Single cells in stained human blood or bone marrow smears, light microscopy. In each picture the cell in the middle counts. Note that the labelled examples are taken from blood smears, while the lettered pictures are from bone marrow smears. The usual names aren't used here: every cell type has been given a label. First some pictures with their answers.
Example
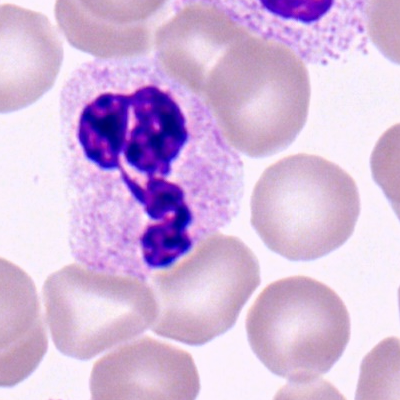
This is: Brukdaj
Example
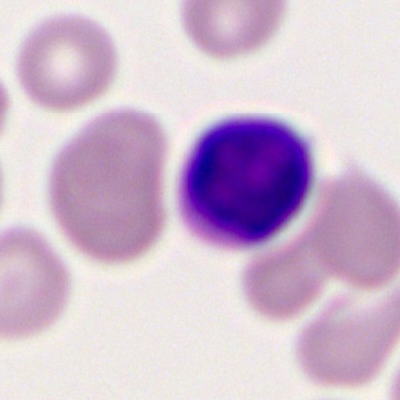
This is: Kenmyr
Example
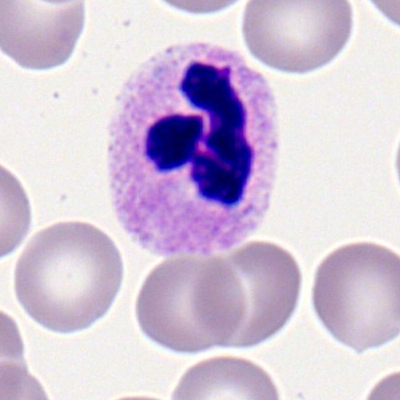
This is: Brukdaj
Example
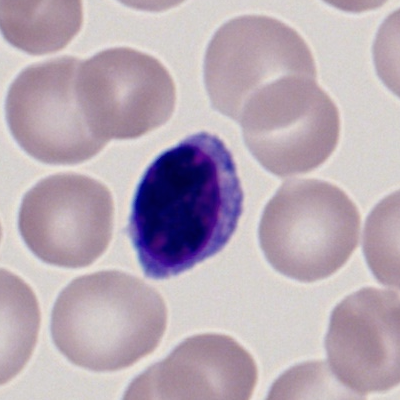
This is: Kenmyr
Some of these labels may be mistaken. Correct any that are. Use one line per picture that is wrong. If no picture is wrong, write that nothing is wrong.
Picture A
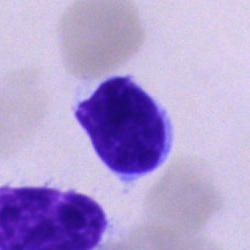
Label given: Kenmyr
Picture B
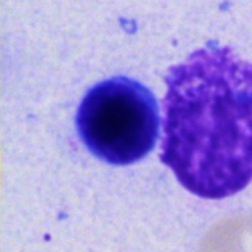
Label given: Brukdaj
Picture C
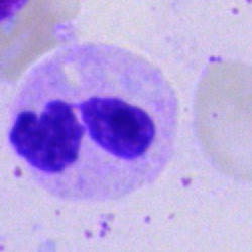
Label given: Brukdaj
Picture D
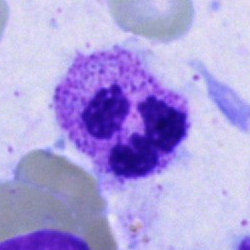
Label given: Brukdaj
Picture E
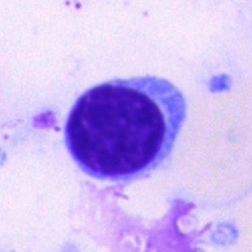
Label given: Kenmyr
B: change Brukdaj to Kenmyr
